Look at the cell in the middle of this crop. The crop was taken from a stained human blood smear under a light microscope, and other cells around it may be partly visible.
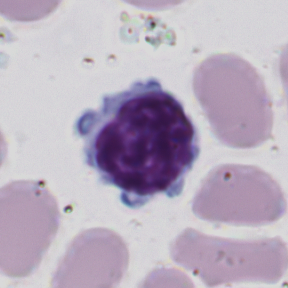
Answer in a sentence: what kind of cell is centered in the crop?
The single cell at the center of the crop is a plasma cell.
